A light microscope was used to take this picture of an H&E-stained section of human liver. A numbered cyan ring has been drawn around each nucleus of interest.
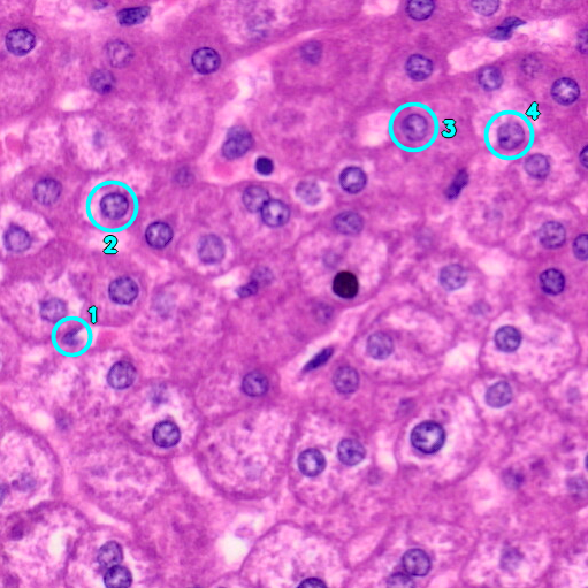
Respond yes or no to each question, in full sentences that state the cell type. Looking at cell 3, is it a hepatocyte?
Yes. The cell carrying number 3 is a hepatocyte.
